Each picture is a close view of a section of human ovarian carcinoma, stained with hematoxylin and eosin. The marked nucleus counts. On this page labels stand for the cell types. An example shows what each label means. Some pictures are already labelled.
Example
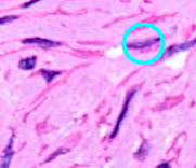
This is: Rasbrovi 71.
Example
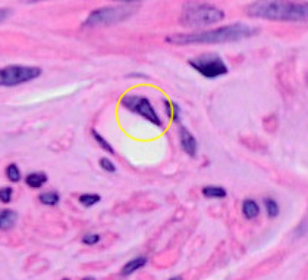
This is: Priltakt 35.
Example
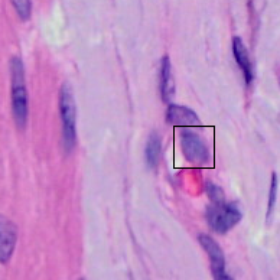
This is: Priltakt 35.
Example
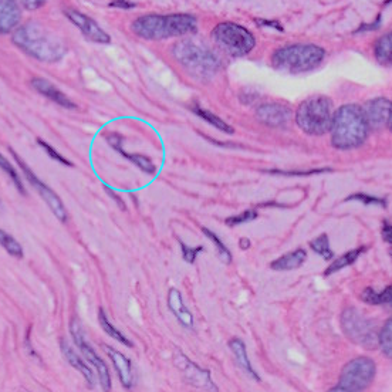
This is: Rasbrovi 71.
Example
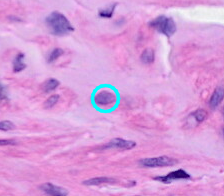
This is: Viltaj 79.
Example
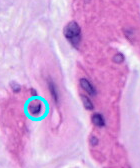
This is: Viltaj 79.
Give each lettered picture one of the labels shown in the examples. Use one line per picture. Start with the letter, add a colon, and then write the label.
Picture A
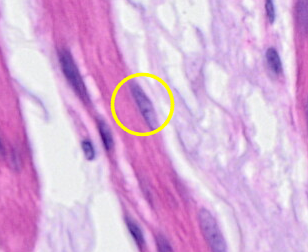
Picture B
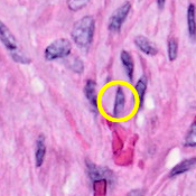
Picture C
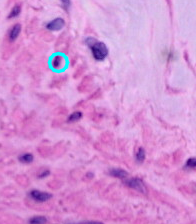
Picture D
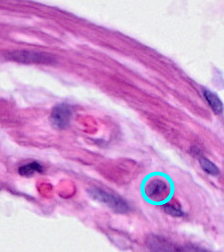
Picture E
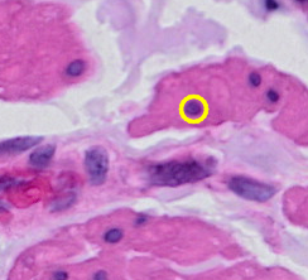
A: Viltaj 79.
B: Rasbrovi 71.
C: Viltaj 79.
D: Priltakt 35.
E: Viltaj 79.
